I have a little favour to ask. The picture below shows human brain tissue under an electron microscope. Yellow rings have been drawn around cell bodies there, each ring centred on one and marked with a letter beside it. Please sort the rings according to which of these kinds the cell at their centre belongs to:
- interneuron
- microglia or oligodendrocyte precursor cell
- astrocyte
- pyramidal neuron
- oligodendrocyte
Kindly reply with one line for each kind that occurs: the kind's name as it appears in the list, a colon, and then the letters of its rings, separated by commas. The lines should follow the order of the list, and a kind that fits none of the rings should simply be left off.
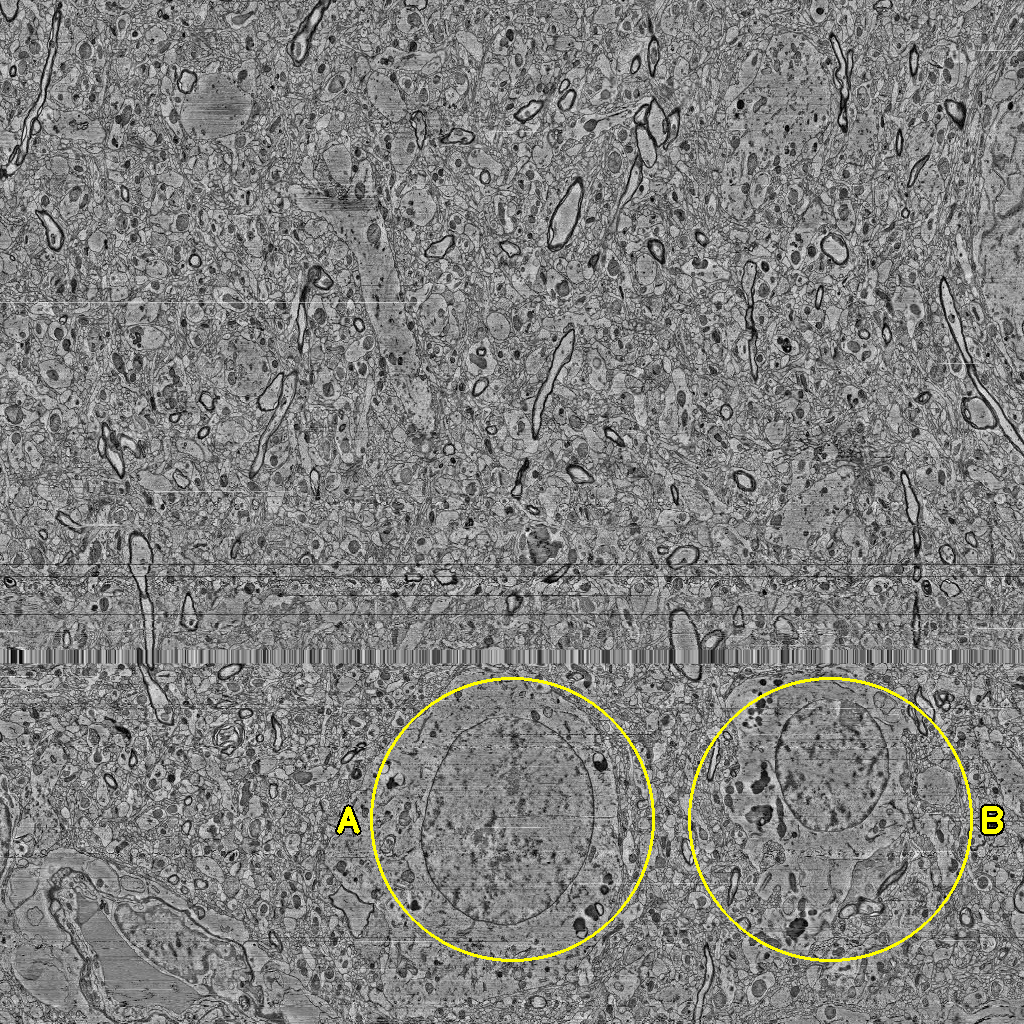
astrocyte: B
pyramidal neuron: A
